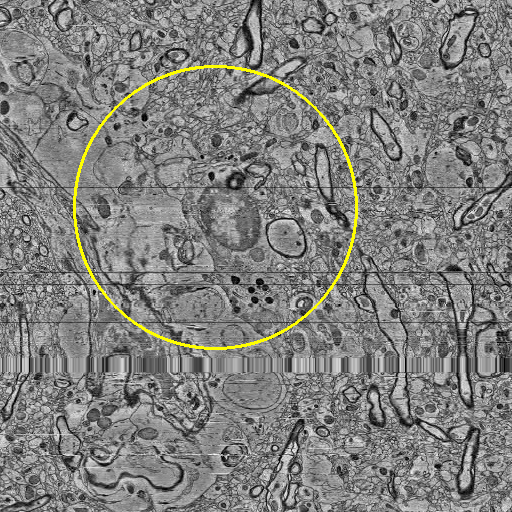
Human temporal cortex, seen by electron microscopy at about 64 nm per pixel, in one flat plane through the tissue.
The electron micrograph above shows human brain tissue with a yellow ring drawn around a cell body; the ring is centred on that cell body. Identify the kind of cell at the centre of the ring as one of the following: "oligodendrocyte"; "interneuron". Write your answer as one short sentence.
The cell at the centre of the ring is an oligodendrocyte.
